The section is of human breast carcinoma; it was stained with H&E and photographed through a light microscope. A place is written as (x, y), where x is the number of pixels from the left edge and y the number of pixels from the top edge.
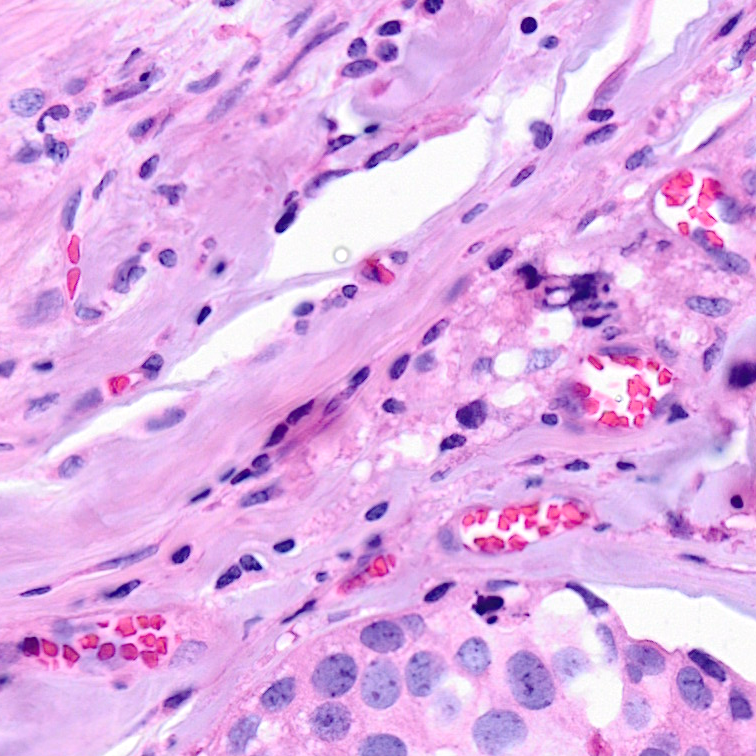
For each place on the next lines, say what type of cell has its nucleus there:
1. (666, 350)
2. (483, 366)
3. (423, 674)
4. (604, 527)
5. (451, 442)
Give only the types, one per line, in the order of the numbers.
endothelial cell
fibroblast
carcinoma cell
endothelial cell
lymphocyte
